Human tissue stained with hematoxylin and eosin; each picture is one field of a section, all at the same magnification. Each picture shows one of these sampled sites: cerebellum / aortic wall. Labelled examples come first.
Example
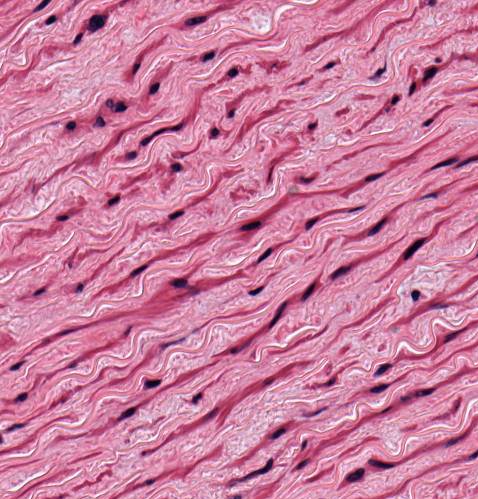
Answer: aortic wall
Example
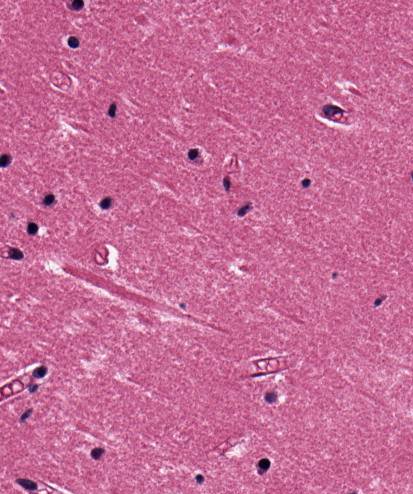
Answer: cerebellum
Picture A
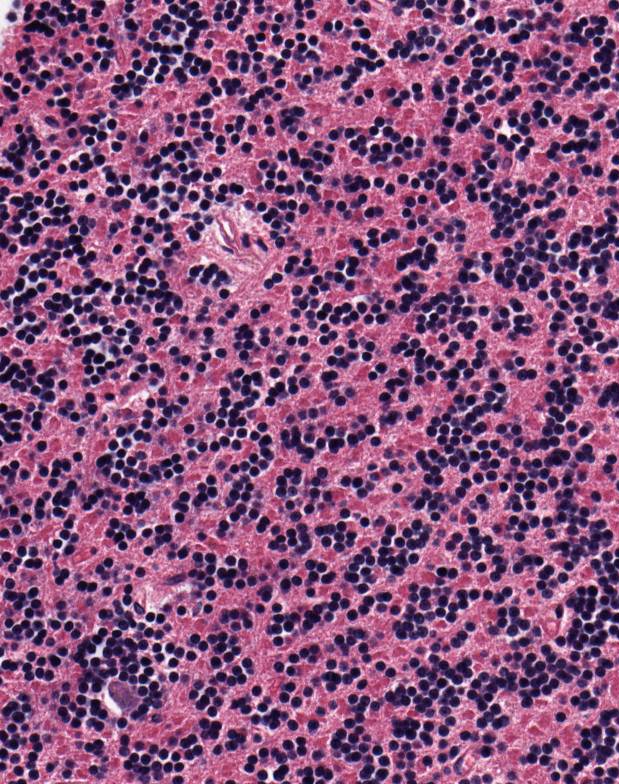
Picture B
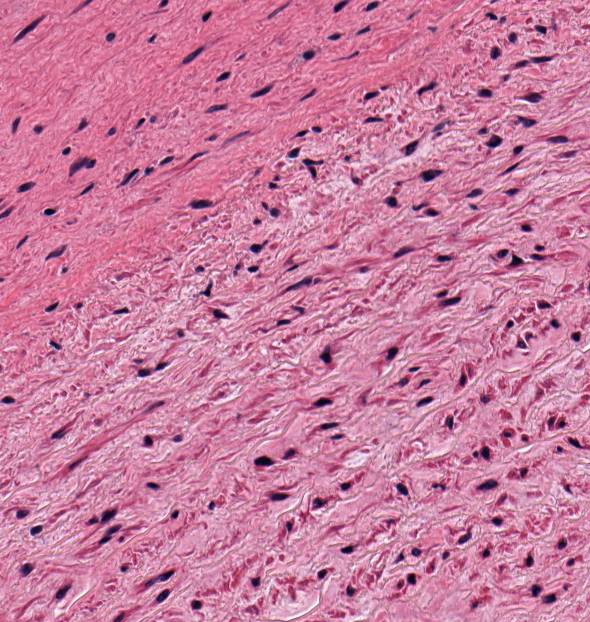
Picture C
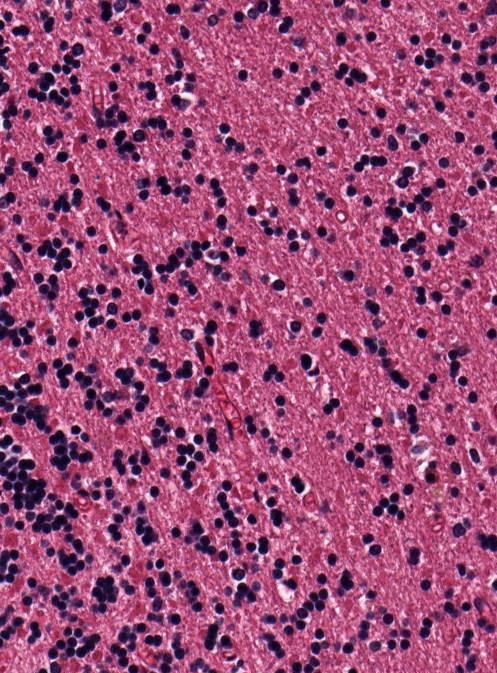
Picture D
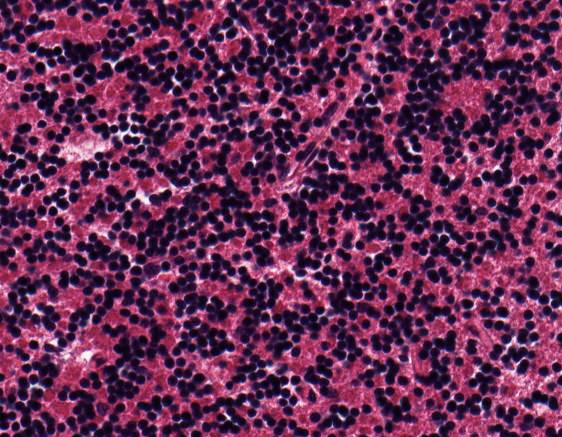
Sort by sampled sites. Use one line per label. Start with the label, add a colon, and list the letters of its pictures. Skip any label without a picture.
cerebellum: A, C, D
aortic wall: B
